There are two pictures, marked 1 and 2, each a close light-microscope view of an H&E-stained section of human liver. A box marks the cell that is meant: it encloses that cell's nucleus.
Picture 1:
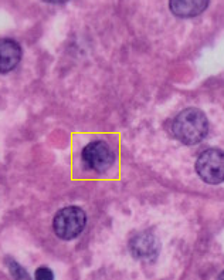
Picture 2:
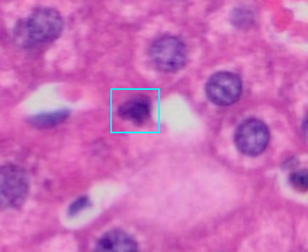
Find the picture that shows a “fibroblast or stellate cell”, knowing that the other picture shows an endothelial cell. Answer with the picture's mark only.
2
